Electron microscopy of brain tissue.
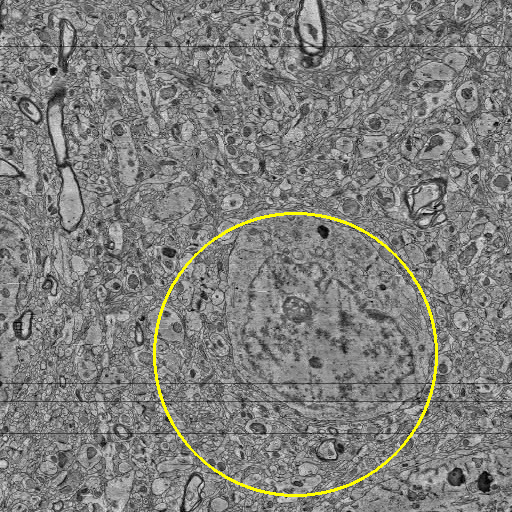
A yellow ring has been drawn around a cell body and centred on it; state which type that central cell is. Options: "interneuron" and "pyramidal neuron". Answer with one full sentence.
The cell at the middle of the yellow ring is an interneuron in this picture.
